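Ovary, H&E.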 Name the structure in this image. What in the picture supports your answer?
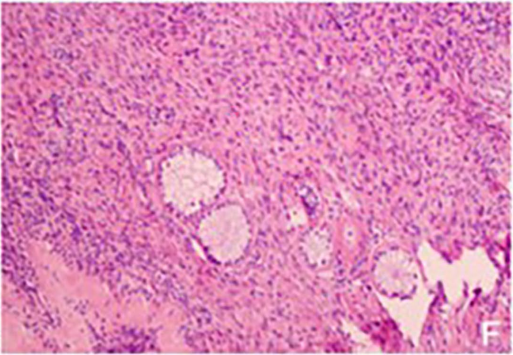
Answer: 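Annular tubules. Round ring-like tubules with pale centres sit in a cellular spindled background. Nuclei are arranged around the rim of each ring.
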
